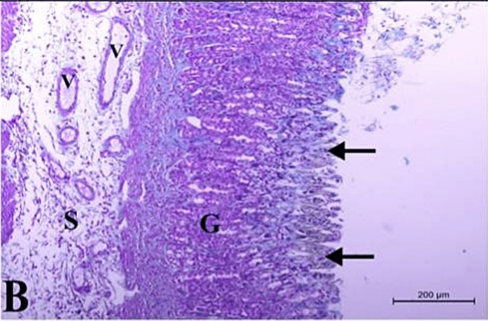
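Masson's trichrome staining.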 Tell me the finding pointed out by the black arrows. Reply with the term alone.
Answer: Massively damaged gastric epithelium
